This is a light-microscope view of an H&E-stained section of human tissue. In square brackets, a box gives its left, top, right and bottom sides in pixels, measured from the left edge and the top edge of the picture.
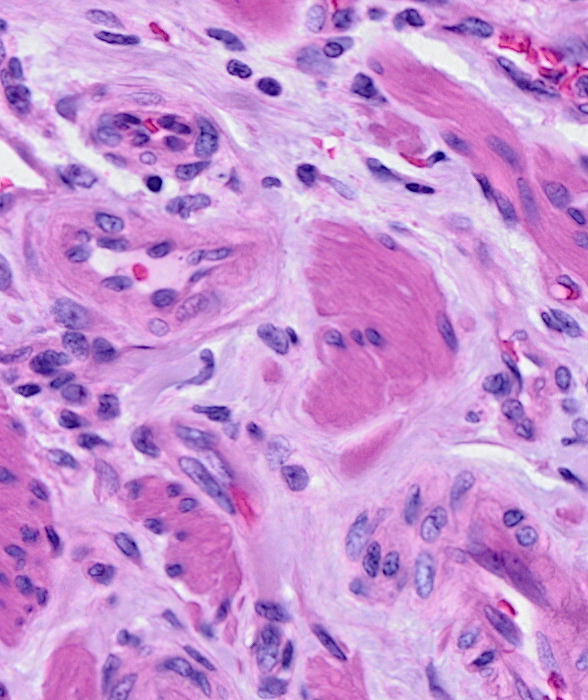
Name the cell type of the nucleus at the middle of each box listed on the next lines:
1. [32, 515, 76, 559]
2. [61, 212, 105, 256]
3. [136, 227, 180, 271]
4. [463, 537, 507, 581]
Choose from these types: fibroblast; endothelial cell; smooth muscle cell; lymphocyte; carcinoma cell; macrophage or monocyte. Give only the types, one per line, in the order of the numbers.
smooth muscle cell
endothelial cell
endothelial cell
endothelial cell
